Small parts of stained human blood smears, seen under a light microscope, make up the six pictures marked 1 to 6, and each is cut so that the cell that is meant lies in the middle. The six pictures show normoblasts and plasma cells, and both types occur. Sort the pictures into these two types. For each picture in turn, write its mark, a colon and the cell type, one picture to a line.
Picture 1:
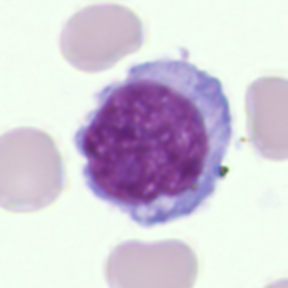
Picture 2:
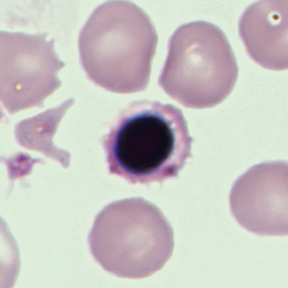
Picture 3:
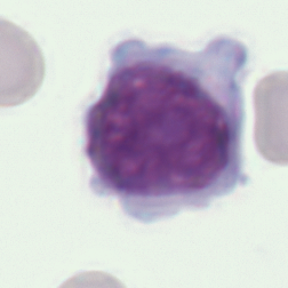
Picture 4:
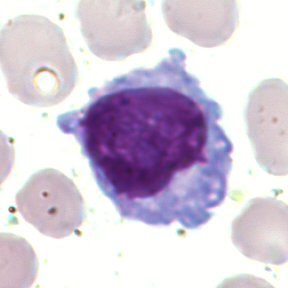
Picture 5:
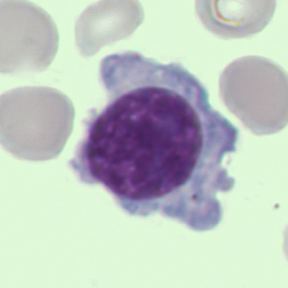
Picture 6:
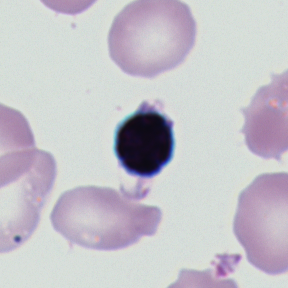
1: plasma cell
2: normoblast
3: plasma cell
4: plasma cell
5: plasma cell
6: normoblast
